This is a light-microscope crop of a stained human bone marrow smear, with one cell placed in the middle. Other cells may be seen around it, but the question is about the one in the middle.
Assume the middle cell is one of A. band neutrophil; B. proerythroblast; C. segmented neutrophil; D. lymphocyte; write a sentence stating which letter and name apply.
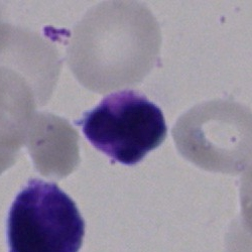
The cell at the centre is a segmented neutrophil, and option C accordingly is correct.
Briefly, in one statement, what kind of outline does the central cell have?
Its outline is ragged or drawn out into projections, not smooth.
